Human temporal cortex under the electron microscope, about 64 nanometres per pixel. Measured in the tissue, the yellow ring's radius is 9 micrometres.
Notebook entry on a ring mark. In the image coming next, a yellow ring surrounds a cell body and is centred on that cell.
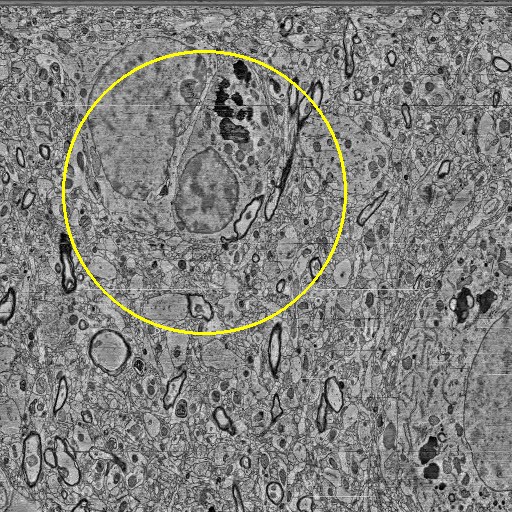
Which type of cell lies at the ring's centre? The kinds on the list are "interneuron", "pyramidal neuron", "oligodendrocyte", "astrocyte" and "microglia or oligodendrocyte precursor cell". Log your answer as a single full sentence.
Centred in the yellow ring is an oligodendrocyte, the cell recorded for this image.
